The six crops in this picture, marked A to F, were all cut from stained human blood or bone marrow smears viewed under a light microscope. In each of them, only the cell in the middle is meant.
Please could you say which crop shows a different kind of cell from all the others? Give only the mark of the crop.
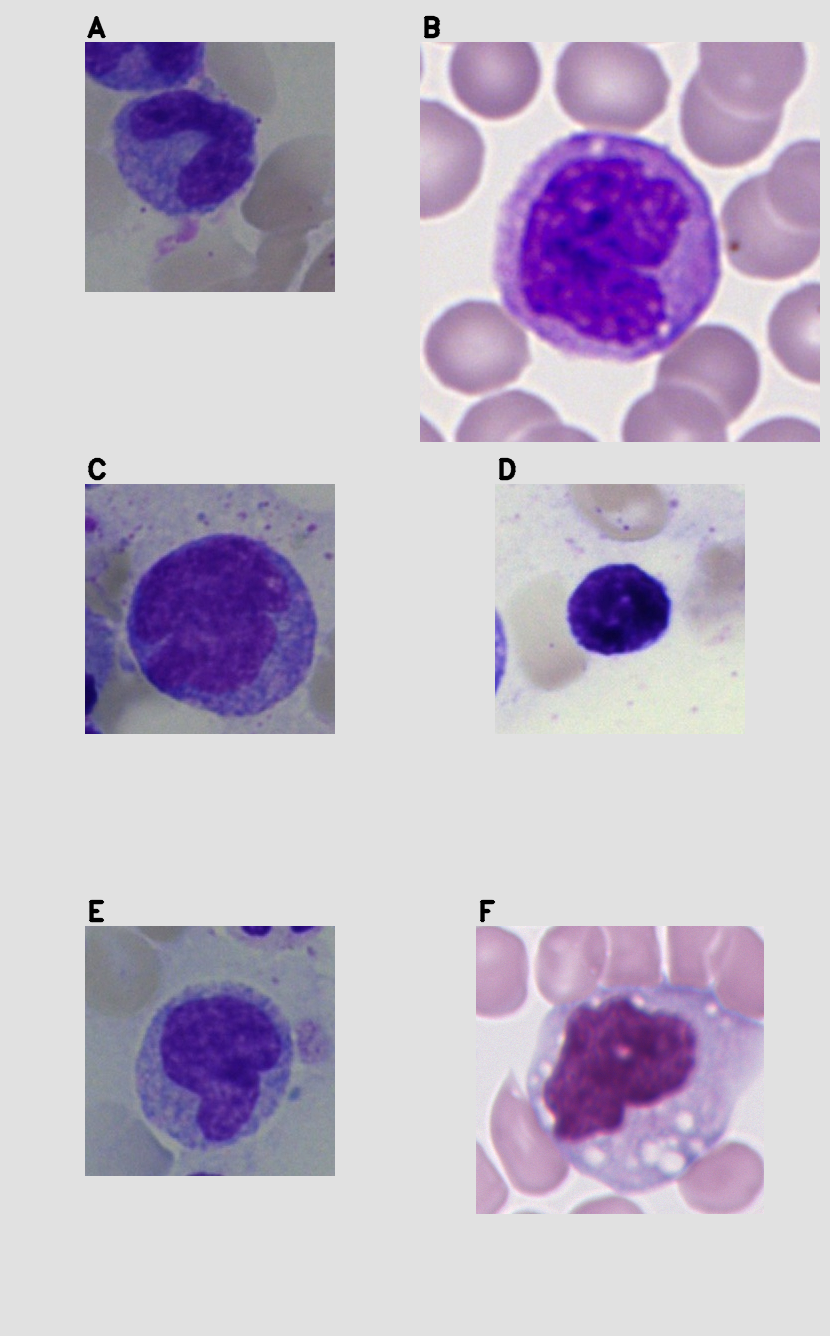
D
